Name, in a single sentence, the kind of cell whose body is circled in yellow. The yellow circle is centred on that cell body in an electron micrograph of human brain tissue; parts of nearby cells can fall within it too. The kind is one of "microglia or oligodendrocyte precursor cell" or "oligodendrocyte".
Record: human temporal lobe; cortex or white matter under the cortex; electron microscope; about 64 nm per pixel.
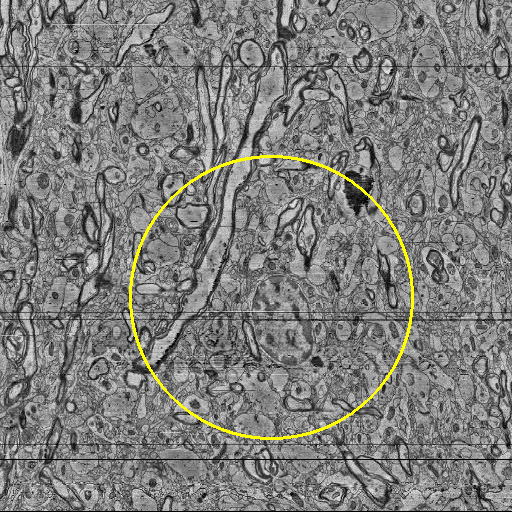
The circled cell body belongs to a microglial cell or oligodendrocyte precursor cell.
